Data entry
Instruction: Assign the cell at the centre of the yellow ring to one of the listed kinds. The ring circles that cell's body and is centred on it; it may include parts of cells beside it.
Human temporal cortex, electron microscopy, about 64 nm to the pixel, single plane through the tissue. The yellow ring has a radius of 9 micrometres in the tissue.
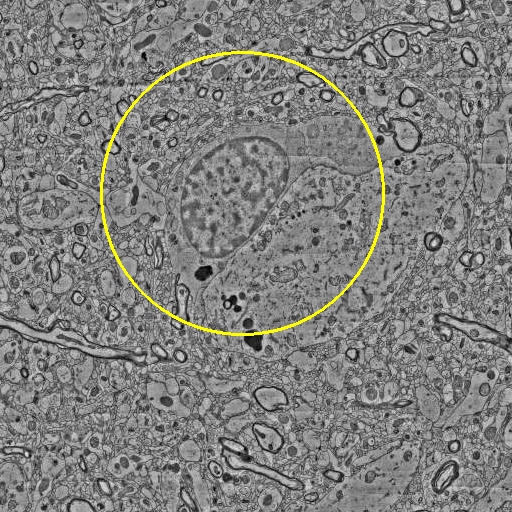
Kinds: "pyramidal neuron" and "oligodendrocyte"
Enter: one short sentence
The centre of the ring falls on an oligodendrocyte.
